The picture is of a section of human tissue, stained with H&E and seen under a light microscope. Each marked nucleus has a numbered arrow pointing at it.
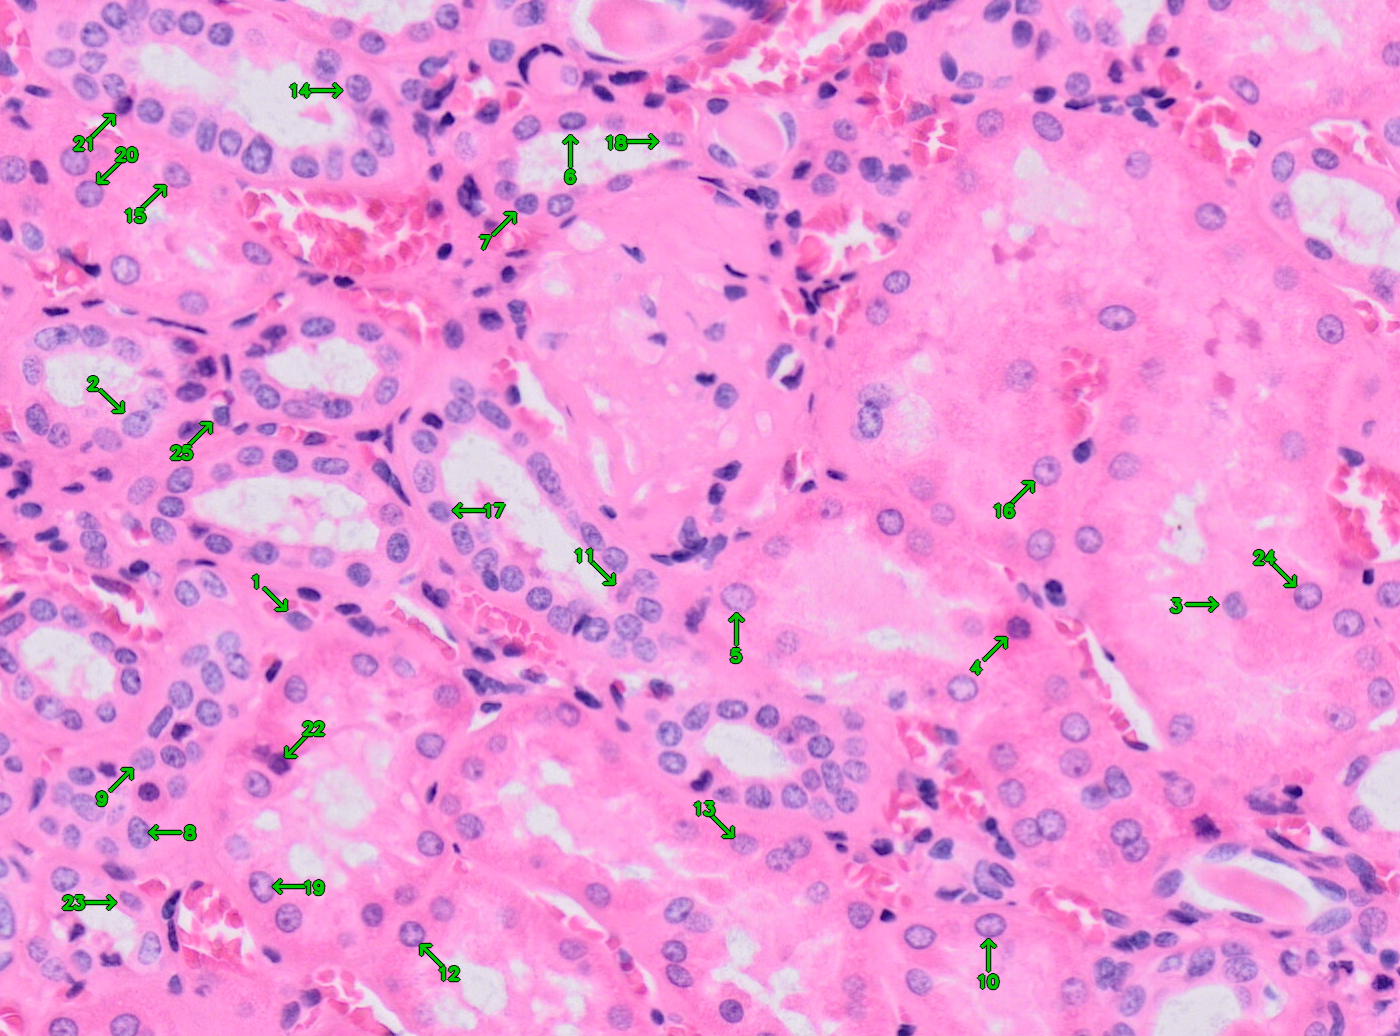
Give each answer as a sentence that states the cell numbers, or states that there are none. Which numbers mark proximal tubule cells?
The cells marked by the numbers 3, 4, 5, 10, 12, 13, 15, 16, 19, 20, 22 and 24 are proximal tubule cells.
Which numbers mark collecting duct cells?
Each of the cells numbered 2, 8, 9, 11, 14, 17, 21 and 23 is among the collecting duct cells.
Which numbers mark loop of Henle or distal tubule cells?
Cells 6, 7 and 18 are recognised here as loop of Henle or distal tubule cells.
